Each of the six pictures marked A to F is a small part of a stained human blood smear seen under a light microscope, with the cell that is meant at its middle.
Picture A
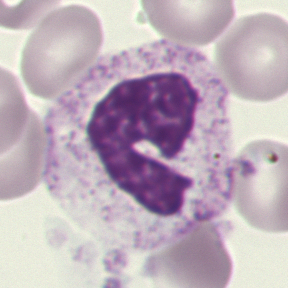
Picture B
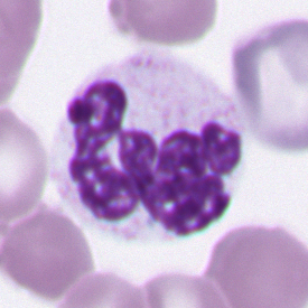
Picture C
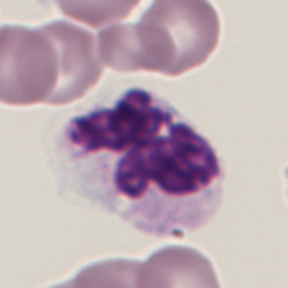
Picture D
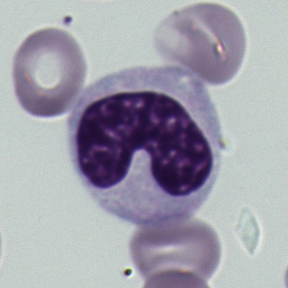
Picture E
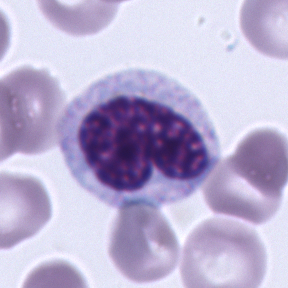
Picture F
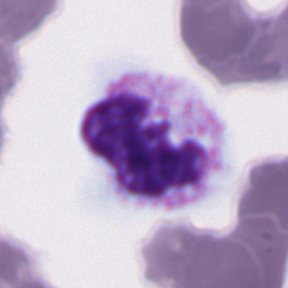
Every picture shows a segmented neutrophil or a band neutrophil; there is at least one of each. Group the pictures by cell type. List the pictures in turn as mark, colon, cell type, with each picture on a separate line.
A: band neutrophil
B: segmented neutrophil
C: segmented neutrophil
D: band neutrophil
E: band neutrophil
F: segmented neutrophil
